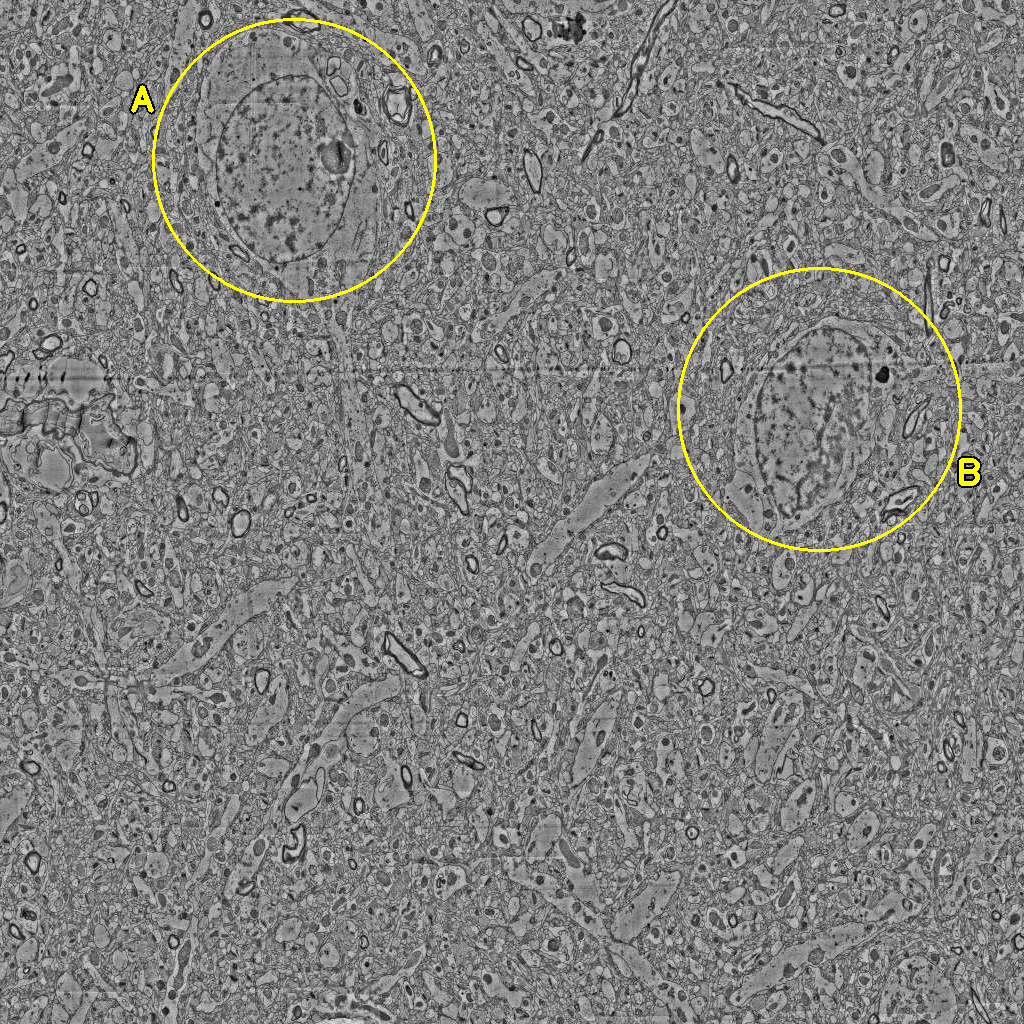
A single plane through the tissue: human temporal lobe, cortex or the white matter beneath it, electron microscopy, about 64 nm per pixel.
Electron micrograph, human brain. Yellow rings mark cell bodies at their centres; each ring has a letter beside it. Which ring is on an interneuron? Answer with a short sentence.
Ring B is centred on it.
